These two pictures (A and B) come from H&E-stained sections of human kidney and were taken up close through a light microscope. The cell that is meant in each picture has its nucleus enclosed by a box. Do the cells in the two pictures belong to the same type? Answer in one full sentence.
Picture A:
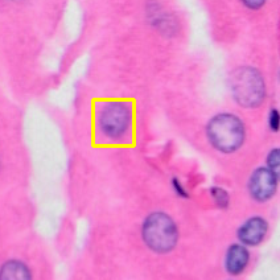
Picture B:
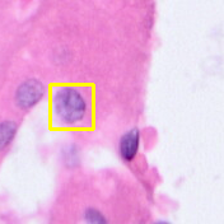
No; the cell in picture A is a proximal tubule cell, while the one in picture B is a “loop of Henle or distal tubule cell”.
